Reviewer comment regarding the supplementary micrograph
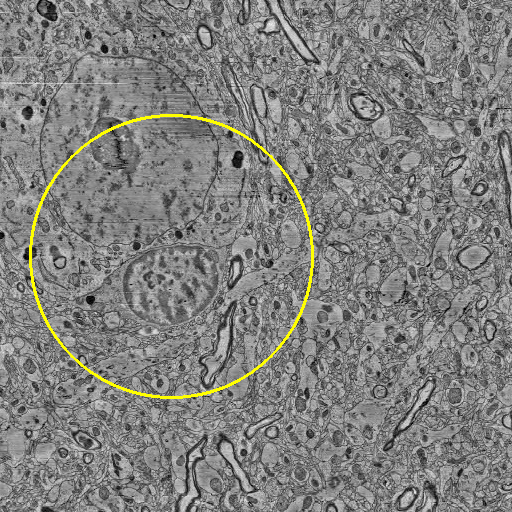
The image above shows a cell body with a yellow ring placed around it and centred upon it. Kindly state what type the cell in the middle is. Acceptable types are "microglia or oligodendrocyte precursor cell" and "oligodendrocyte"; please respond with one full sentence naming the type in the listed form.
In the image above, the cell on which the yellow ring is centred is an oligodendrocyte.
